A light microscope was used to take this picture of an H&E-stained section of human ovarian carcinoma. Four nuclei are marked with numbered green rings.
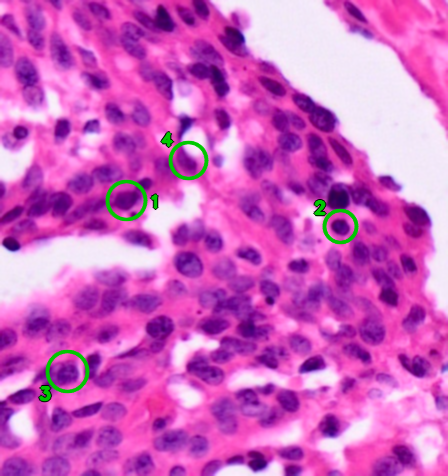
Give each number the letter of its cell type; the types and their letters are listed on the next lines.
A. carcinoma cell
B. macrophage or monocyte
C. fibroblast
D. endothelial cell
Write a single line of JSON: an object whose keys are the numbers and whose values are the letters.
{"1": "A", "2": "B", "3": "A", "4": "A"}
